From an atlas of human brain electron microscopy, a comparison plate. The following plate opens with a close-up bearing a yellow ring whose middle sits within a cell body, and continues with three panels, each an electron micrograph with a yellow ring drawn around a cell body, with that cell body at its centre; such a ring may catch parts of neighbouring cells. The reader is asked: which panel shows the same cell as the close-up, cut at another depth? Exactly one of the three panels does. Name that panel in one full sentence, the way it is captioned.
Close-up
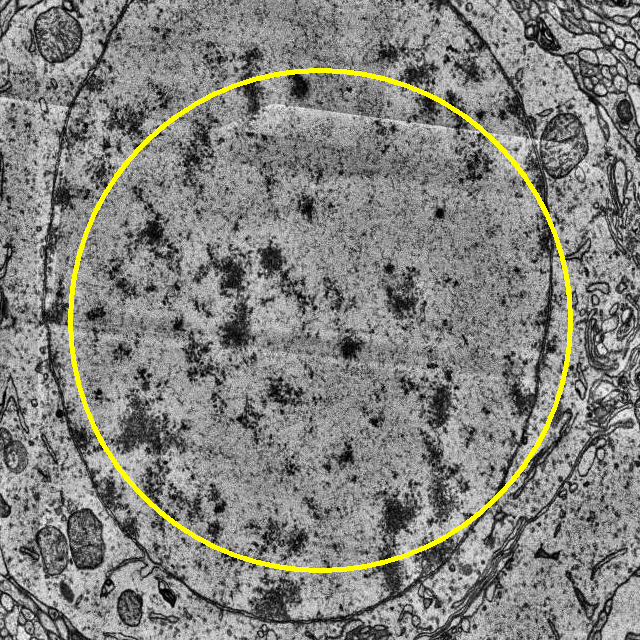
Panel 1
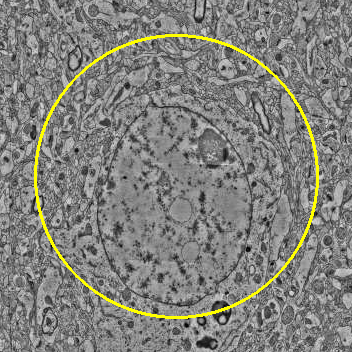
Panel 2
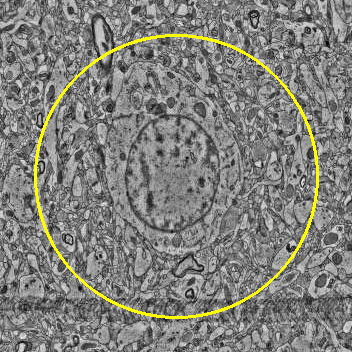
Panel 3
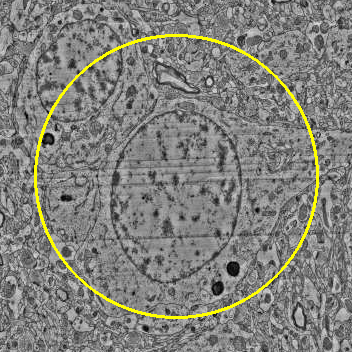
The cell featured in the close-up is found in Panel 2.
